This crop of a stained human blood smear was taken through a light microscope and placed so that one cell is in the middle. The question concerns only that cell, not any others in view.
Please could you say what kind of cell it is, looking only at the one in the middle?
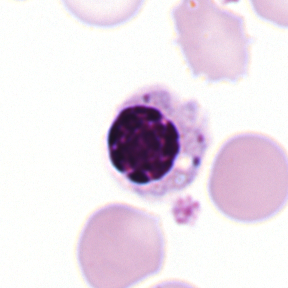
normoblast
